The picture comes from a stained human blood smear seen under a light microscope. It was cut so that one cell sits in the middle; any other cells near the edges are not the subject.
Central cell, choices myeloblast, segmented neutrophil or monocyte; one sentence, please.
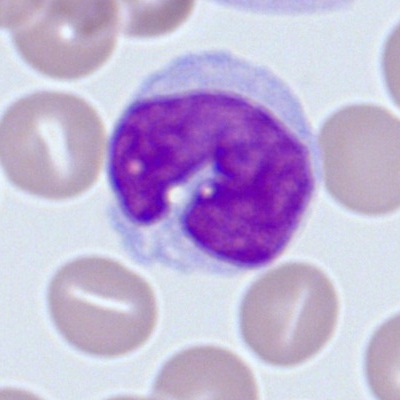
Located at the centre of the crop is a monocyte.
